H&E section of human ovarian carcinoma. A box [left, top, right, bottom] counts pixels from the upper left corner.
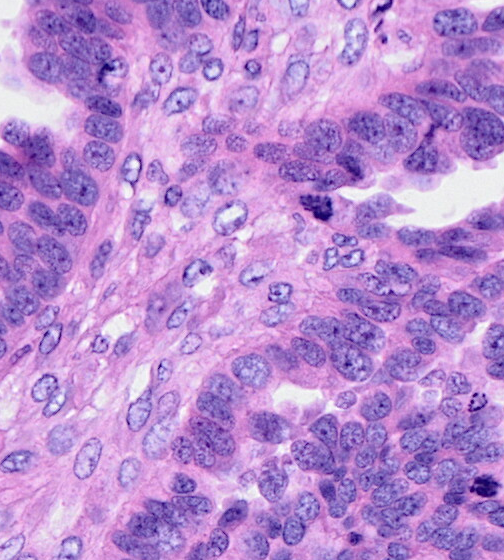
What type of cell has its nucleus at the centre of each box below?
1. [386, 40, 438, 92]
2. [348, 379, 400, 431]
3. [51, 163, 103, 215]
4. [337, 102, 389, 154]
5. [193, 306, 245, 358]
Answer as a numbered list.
1. fibroblast
2. carcinoma cell
3. carcinoma cell
4. carcinoma cell
5. fibroblast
